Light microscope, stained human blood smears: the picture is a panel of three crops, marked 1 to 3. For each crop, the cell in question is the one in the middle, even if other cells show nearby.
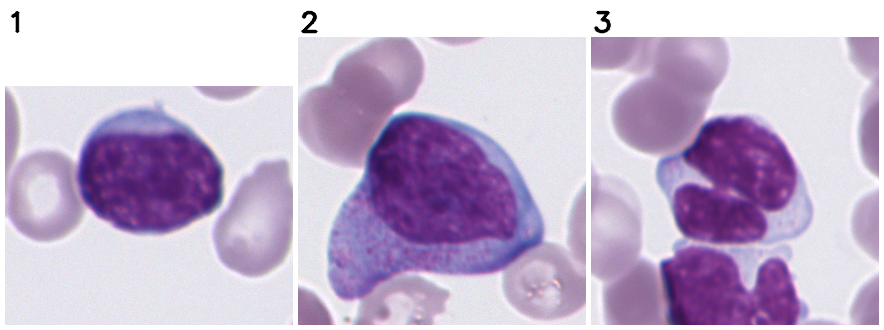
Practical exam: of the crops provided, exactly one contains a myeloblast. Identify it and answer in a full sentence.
Look at crop 1; that is the one with a myeloblast in its center.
